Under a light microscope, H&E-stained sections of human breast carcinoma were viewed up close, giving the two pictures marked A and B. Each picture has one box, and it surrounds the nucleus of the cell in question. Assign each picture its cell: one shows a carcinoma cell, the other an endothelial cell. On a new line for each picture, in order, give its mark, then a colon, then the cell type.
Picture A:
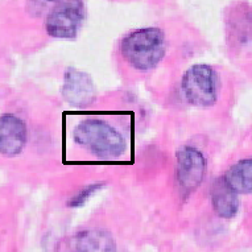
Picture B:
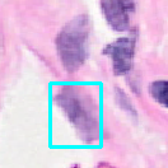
A: carcinoma cell
B: endothelial cell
